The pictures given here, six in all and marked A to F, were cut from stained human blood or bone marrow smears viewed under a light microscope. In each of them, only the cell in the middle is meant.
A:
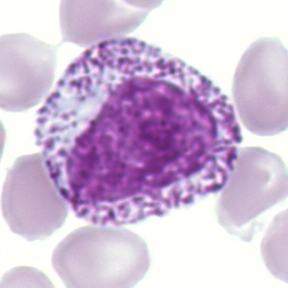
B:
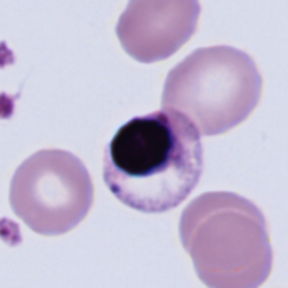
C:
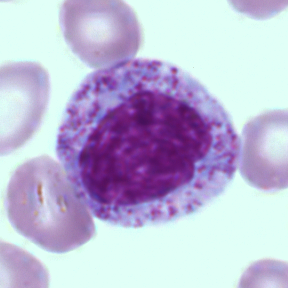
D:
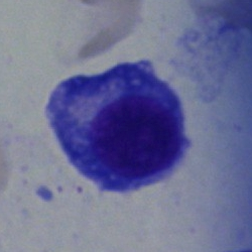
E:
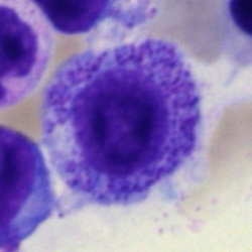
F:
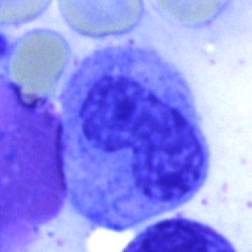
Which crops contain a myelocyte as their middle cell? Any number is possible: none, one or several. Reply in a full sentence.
The centrally placed cells in crops A, C and E are myelocytes.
